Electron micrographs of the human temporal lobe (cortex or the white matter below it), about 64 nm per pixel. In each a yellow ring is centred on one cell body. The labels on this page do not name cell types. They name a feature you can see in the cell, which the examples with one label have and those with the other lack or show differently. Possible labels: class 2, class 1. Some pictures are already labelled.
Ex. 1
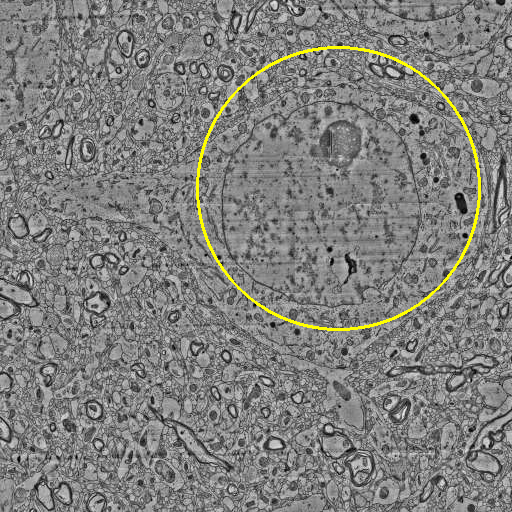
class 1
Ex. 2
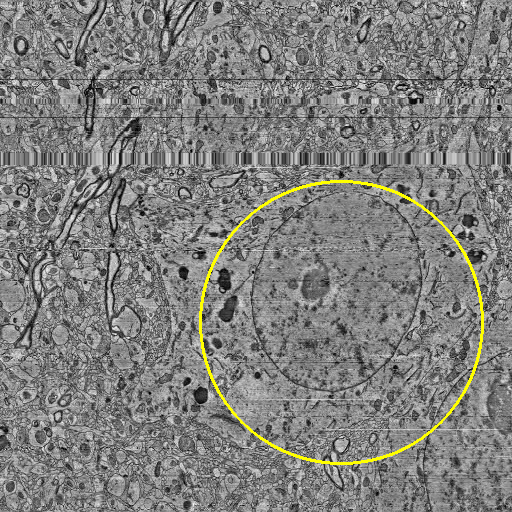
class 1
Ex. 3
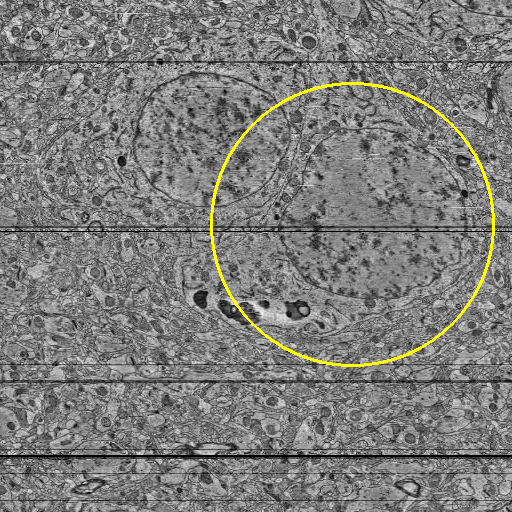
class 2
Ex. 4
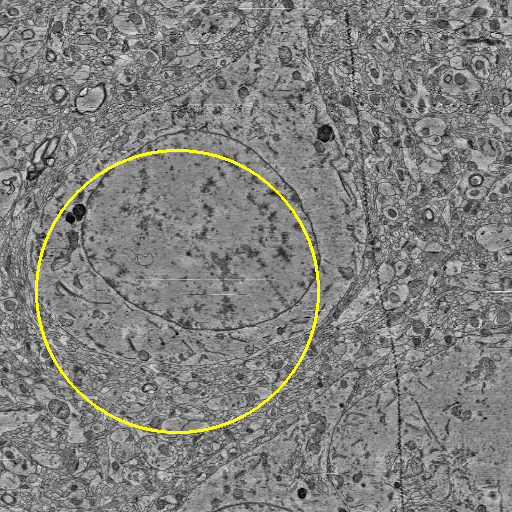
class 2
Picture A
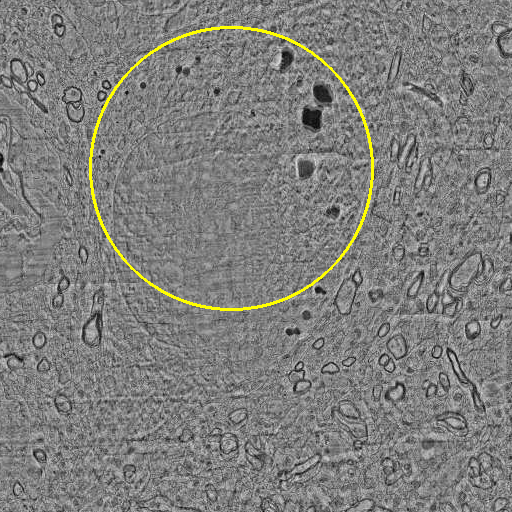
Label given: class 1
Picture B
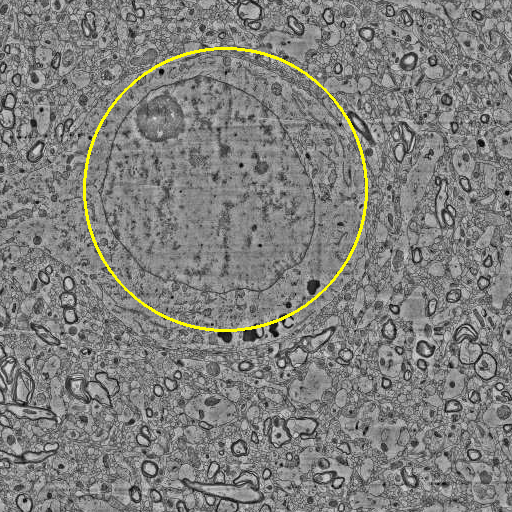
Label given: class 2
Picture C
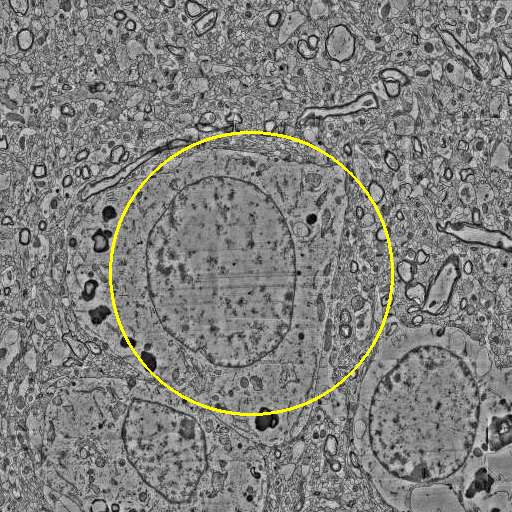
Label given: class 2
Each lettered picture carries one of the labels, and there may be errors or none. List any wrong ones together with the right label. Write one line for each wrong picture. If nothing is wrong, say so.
A should be class 2, not class 1
B should be class 1, not class 2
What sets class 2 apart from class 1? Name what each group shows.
In class 2: no nucleolus seen. In class 1: nucleolus seen.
